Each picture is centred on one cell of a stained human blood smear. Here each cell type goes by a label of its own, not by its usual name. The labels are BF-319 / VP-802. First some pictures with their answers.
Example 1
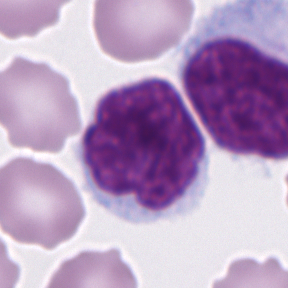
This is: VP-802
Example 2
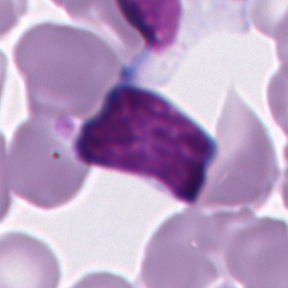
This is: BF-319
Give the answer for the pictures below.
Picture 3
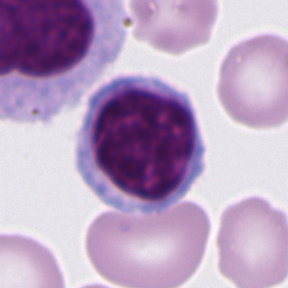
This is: BF-319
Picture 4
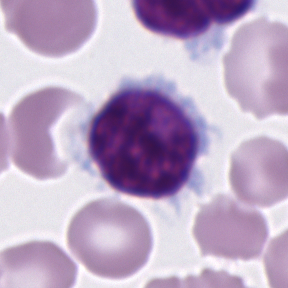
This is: VP-802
